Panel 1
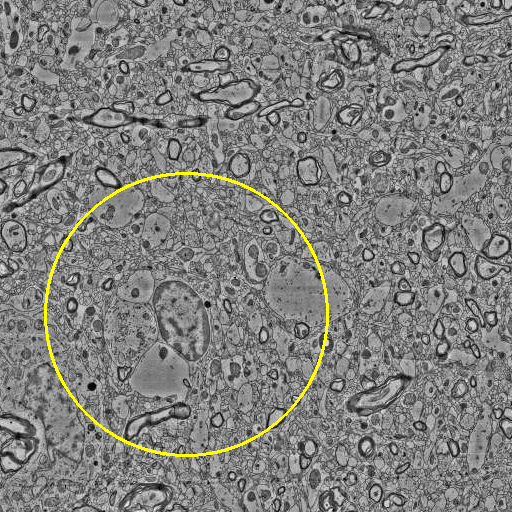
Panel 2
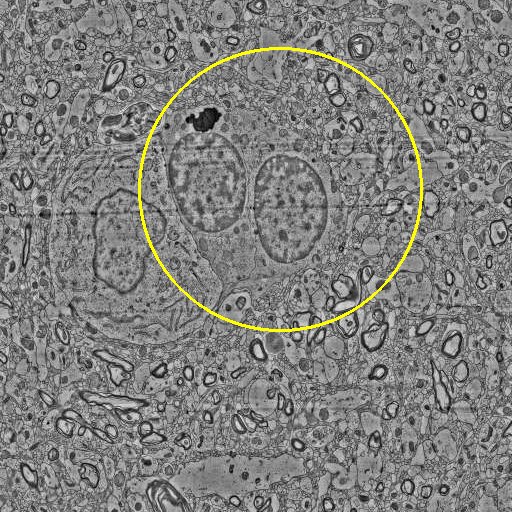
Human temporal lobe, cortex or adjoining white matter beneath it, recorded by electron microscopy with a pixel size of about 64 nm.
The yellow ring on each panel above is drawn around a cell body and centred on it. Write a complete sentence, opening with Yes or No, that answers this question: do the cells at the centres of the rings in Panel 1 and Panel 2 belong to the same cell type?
No, the two cells belong to two cell types.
